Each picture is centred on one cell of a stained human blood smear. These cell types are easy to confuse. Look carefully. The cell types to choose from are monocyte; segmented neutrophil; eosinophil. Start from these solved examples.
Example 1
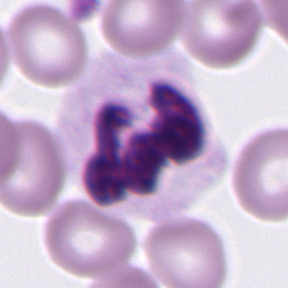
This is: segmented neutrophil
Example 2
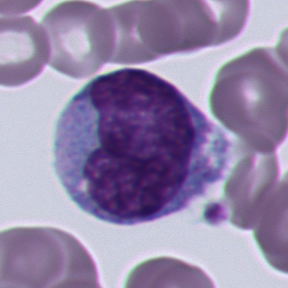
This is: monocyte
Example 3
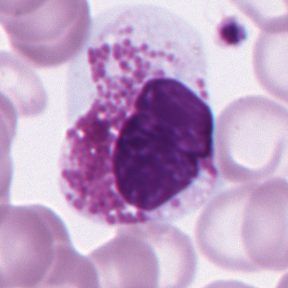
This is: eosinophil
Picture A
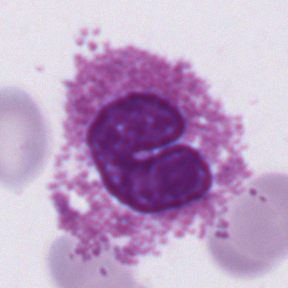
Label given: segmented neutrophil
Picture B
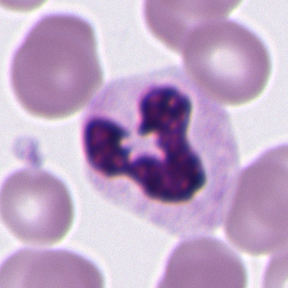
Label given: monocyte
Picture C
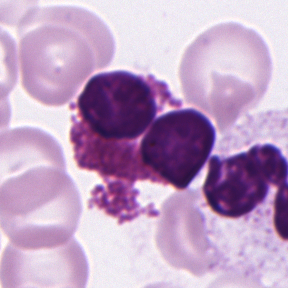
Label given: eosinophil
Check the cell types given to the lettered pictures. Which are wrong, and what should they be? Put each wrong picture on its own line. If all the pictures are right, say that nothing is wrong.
A: change segmented neutrophil to eosinophil
B: change monocyte to segmented neutrophil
